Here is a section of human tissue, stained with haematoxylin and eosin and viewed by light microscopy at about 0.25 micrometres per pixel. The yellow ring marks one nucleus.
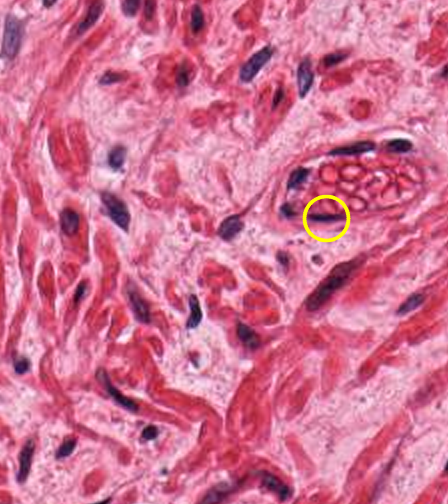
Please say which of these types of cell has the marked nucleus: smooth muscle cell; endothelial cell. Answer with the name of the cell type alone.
endothelial cell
